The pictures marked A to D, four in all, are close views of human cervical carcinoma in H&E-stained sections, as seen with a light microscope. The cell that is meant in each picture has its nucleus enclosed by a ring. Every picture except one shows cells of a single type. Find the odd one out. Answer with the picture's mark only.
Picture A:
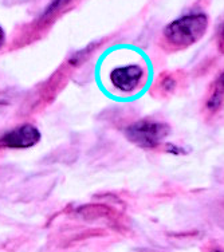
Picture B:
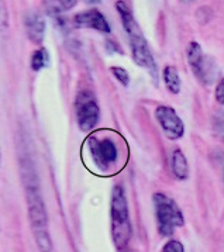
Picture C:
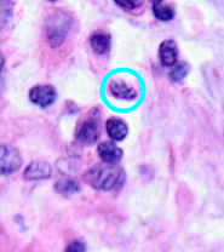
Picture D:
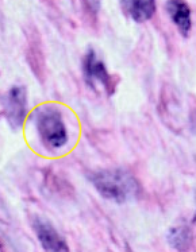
D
